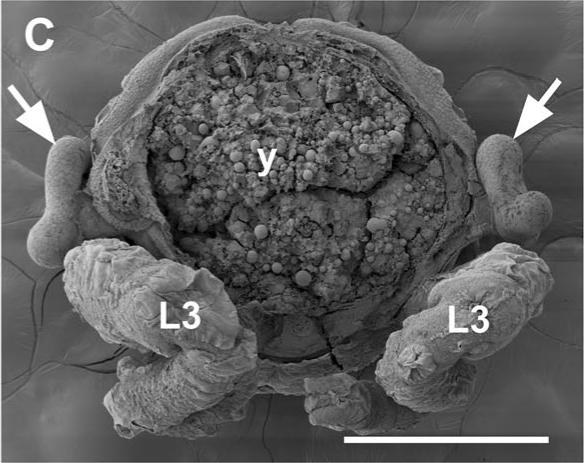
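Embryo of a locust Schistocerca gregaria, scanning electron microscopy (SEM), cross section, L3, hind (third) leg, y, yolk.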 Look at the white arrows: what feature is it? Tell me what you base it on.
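Pleuropodium. The arrows point to a pair of small club-shaped outgrowths, one on each side of the sectioned body. The outgrowths sit at the body wall above the larger legs.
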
